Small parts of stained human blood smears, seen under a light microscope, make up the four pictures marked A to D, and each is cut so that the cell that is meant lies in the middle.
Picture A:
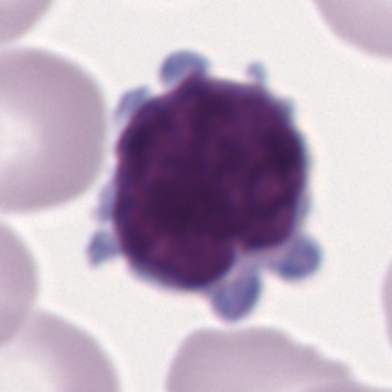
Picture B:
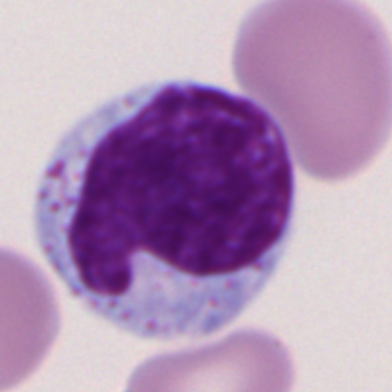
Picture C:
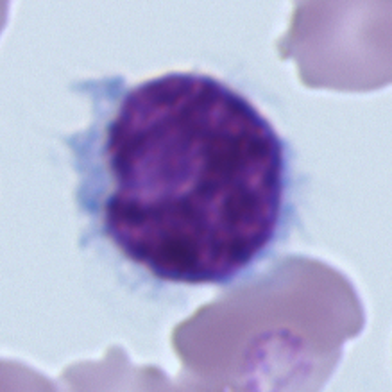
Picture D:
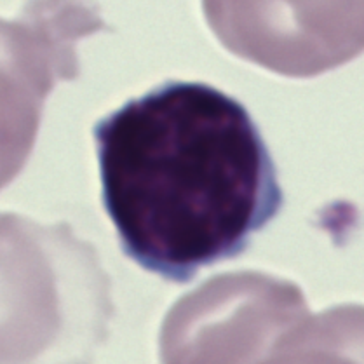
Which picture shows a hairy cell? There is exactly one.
C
